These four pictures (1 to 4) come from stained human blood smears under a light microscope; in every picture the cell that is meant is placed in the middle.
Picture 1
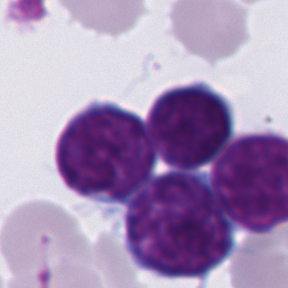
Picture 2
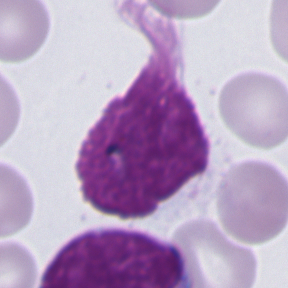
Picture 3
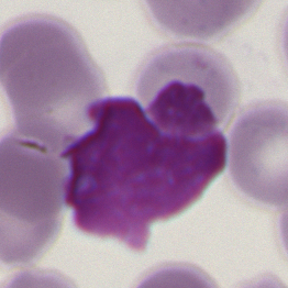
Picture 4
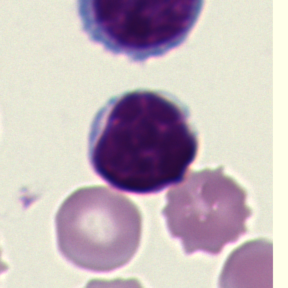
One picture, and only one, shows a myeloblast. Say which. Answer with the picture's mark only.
1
